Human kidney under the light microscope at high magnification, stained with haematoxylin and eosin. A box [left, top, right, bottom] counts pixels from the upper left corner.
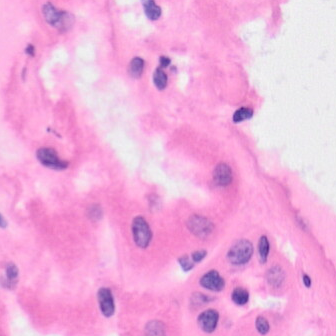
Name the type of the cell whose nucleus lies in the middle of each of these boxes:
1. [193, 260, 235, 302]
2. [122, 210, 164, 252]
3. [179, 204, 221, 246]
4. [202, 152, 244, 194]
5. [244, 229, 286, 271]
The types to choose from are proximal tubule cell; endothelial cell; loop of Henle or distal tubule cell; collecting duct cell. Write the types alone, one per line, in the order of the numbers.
collecting duct cell
proximal tubule cell
proximal tubule cell
proximal tubule cell
collecting duct cell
